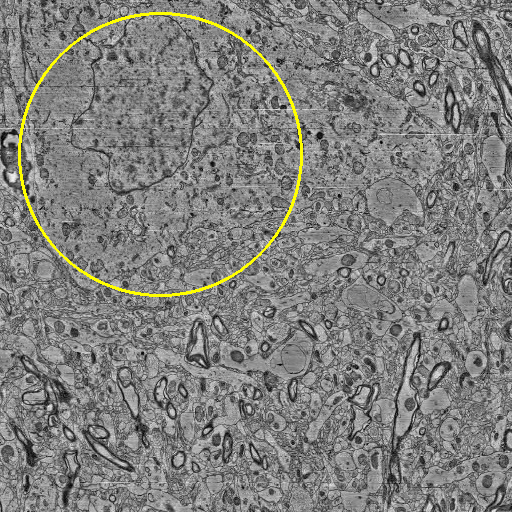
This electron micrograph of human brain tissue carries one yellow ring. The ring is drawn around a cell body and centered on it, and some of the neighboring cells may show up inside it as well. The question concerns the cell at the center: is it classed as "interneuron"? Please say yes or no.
No, it is classed as another kind.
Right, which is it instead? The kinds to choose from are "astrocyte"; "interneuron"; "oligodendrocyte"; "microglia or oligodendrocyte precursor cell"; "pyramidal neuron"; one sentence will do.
What the ring encloses here is a pyramidal neuron.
